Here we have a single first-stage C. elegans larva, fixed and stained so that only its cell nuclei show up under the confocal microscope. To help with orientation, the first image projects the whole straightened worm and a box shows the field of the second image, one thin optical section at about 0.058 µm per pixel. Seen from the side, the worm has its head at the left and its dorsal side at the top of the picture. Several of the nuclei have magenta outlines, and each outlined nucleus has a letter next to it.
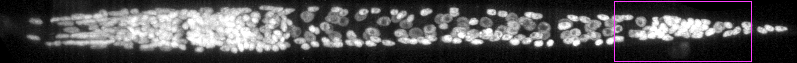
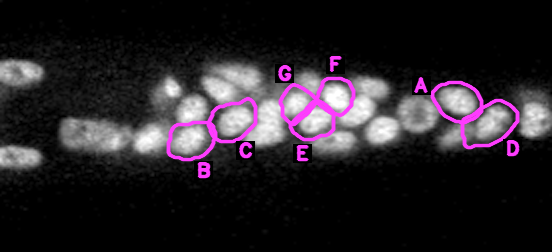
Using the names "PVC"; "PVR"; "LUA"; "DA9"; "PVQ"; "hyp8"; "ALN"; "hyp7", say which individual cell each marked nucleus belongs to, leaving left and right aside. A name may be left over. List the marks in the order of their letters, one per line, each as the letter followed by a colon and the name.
A: PVR
B: DA9
C: PVQ
D: hyp7
E: PVC
F: ALN
G: LUA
